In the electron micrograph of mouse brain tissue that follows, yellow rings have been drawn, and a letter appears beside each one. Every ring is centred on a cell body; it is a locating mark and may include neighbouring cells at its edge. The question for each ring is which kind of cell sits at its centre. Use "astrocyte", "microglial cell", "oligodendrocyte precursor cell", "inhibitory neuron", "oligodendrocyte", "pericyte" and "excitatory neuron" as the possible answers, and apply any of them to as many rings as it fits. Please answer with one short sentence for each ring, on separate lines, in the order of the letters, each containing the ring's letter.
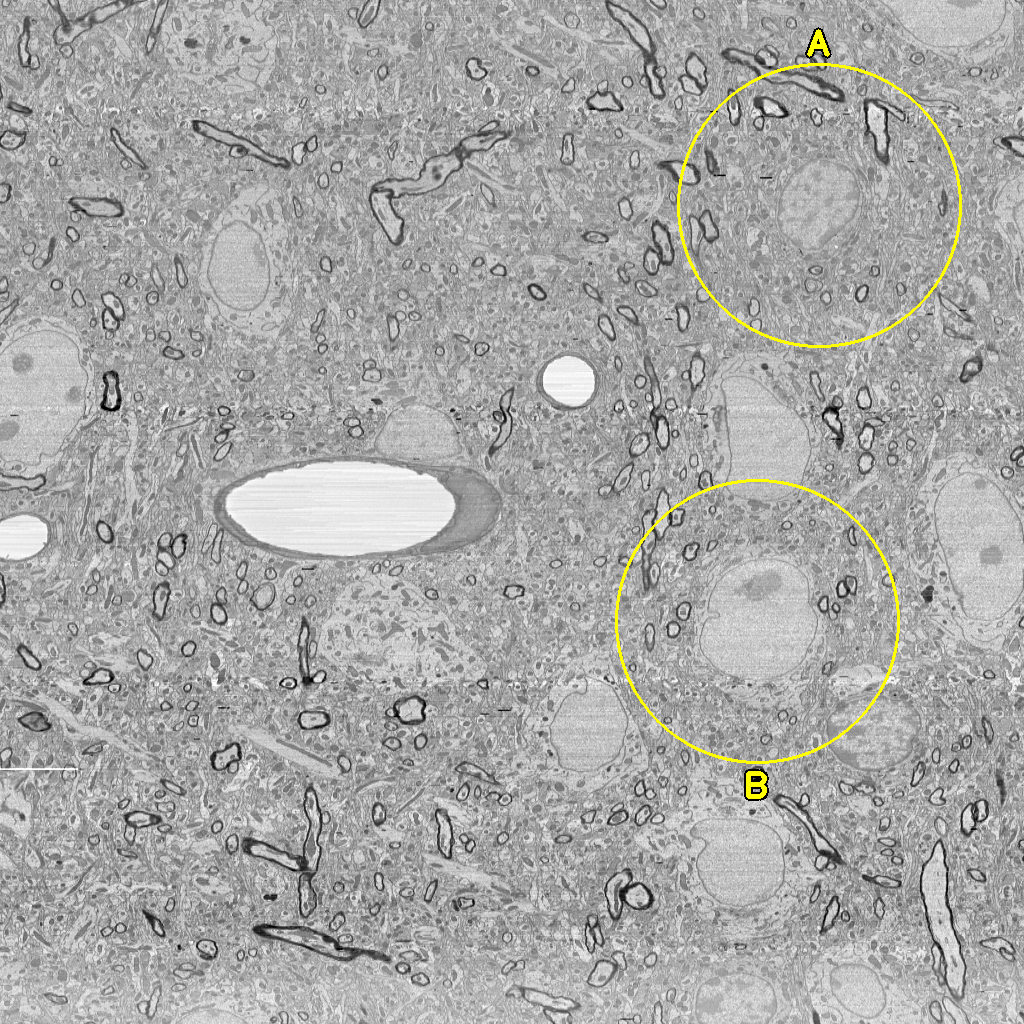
Sitting at the centre of ring A is an oligodendrocyte.
Sitting at the centre of ring B is an excitatory neuron.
